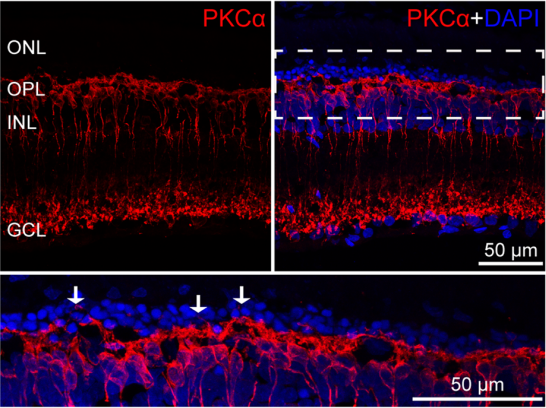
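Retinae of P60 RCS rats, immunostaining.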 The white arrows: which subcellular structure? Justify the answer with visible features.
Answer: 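Ectopic dendrites. The arrows point at these processes in the magnified strip.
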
